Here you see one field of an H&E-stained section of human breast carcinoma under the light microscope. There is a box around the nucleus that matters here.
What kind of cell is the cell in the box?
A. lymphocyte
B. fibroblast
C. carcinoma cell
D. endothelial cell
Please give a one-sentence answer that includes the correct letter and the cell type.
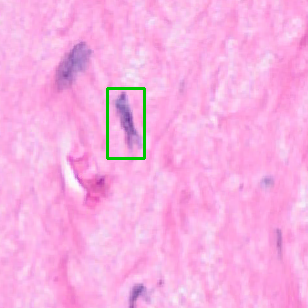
Option B, which has the cell in the box as a fibroblast, is the correct choice.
